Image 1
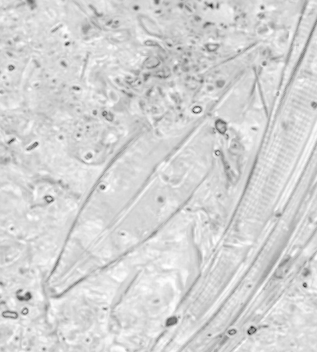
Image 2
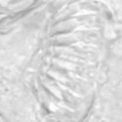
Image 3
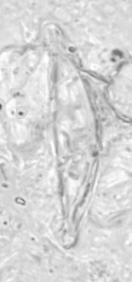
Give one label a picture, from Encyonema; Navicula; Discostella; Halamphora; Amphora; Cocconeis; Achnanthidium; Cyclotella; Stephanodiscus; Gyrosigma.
(1) Navicula
(2) Cyclotella
(3) Halamphora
